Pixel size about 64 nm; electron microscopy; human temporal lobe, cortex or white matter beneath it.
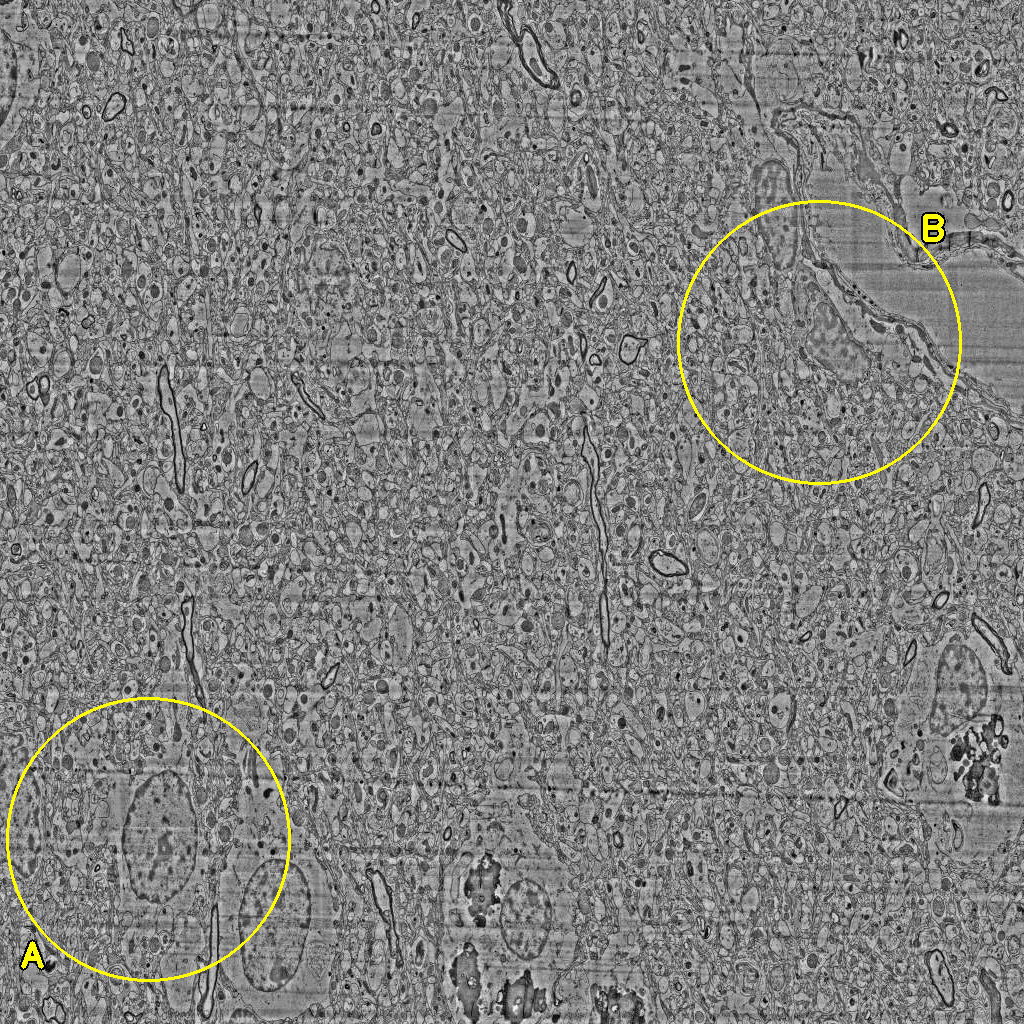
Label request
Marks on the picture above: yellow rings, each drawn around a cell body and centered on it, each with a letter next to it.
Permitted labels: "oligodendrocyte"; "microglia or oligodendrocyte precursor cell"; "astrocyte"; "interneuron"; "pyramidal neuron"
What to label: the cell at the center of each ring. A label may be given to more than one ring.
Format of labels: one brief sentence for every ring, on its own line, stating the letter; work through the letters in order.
The cell at the center of ring A is an astrocyte.
The cell at the center of ring B is an oligodendrocyte.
